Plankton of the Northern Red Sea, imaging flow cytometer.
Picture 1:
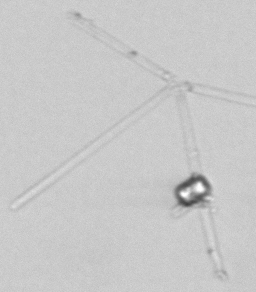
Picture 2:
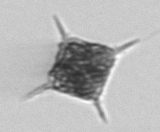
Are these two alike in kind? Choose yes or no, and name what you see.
No. First Thalassionema, second a silicoflagellate.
